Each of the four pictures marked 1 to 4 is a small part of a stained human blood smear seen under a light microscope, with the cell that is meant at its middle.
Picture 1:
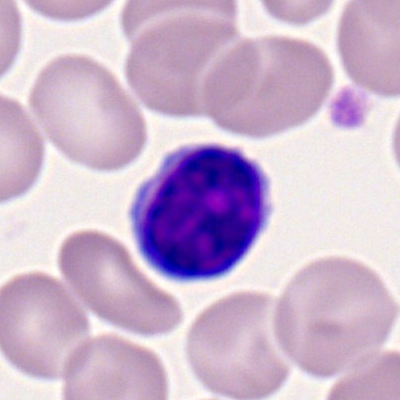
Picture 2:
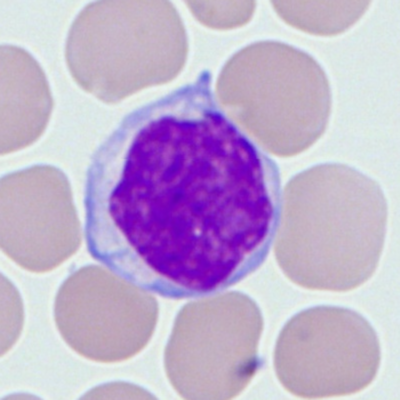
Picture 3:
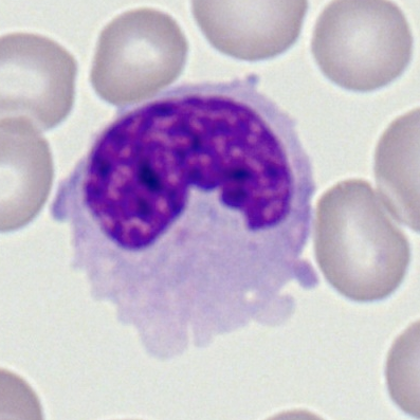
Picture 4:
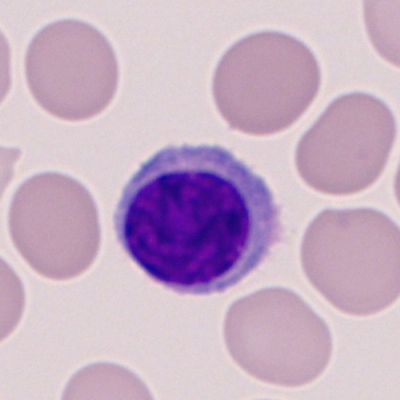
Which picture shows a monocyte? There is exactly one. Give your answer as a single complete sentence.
Picture 3 is the one that shows the monocyte.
